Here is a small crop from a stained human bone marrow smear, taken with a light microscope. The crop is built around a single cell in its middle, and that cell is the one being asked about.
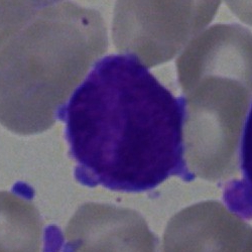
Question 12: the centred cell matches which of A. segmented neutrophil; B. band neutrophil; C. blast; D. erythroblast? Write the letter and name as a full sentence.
Located in the middle of the crop is a blast, and option C is therefore correct.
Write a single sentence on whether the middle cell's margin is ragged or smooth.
Seen at its edge, the cell is not smooth but ragged or projecting.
